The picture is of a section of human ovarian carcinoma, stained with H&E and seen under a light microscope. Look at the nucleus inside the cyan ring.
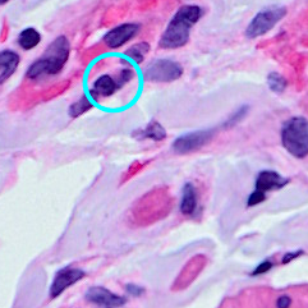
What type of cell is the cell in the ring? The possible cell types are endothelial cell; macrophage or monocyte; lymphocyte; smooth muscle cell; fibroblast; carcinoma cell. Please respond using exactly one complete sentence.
Just put down that the cell in the ring is a lymphocyte.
